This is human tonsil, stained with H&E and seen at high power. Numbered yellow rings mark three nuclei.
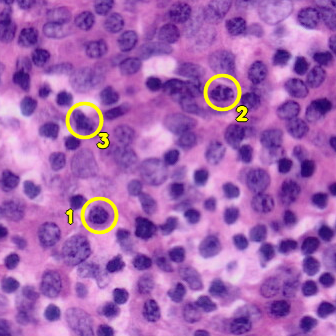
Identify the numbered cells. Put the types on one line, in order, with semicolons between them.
plasma cell; plasma cell; squamous epithelial cell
